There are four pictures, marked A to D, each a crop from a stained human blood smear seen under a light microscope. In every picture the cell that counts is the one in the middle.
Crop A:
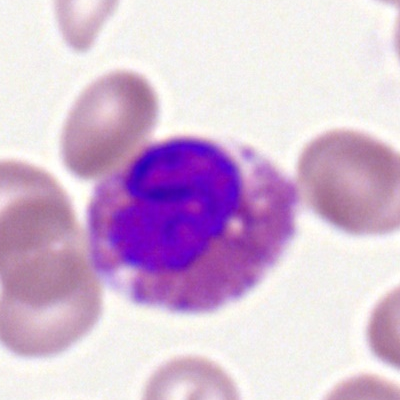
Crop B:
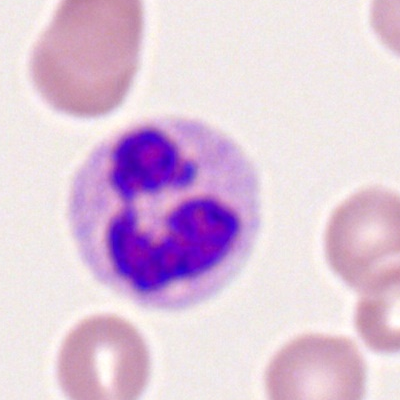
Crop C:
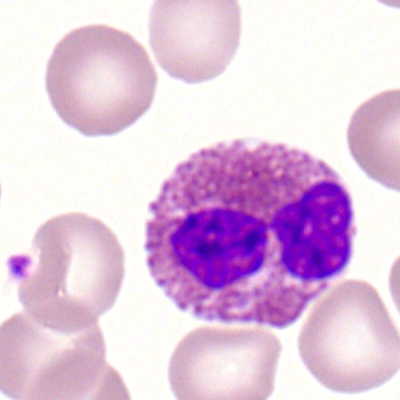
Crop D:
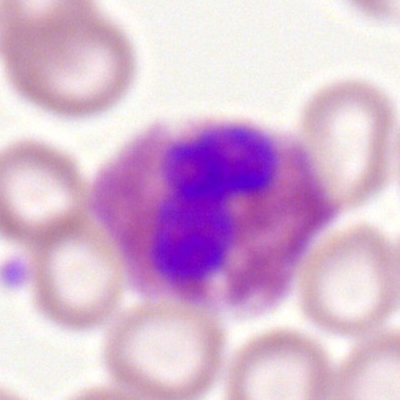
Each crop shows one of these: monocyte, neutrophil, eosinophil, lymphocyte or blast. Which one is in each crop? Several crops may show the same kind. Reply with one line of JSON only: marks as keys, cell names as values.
{"A": "eosinophil", "B": "neutrophil", "C": "eosinophil", "D": "eosinophil"}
